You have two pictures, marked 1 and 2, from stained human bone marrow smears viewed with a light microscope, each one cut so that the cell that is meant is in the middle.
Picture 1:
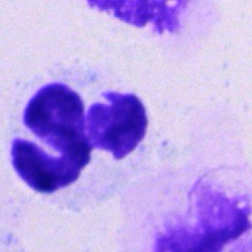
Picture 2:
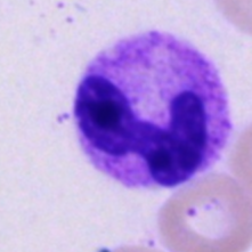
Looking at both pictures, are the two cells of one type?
yes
